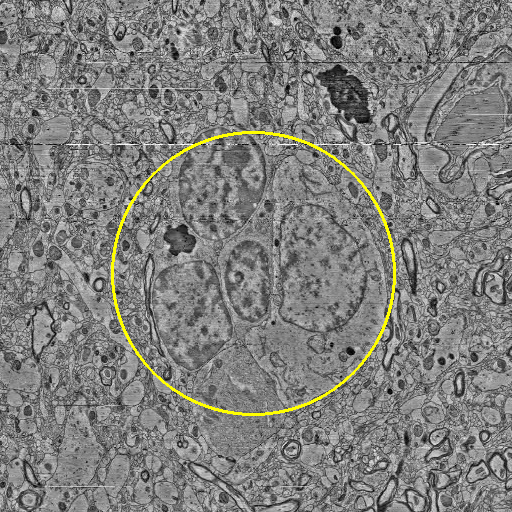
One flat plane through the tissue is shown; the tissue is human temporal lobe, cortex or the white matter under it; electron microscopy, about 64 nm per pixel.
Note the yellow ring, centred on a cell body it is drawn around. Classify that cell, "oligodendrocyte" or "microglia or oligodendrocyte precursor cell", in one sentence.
The cell the ring is centred on is an oligodendrocyte.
